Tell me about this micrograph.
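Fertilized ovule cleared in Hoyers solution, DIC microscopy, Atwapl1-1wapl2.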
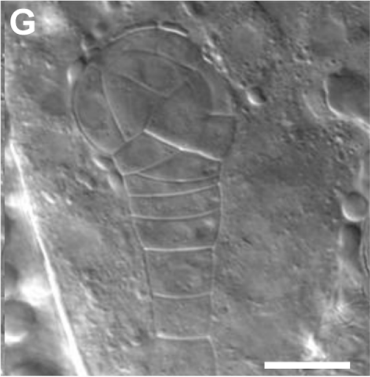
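Dermatogen-stage plant embryo: a rounded embryo proper sits atop a single file of flattened suspensor cells. The embryo proper has an outer cell layer but its internal walls run in irregular, uneven directions, giving cells of unequal size rather than orderly symmetric divisions.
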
